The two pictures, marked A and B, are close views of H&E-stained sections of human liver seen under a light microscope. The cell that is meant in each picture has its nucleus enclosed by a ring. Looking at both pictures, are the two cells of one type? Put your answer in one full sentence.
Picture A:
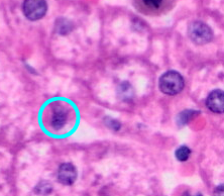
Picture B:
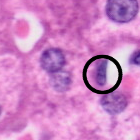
No. Picture A shows a “fibroblast or stellate cell”, but picture B shows an endothelial cell.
